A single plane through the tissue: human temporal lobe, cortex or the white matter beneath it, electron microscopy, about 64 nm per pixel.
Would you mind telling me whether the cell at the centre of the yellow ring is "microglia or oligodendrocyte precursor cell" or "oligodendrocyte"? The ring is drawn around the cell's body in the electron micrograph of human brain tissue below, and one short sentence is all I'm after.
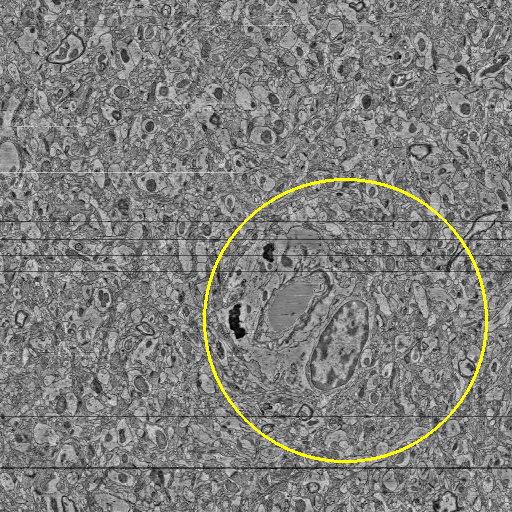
In the centre of the ring lies a microglial cell or oligodendrocyte precursor cell.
